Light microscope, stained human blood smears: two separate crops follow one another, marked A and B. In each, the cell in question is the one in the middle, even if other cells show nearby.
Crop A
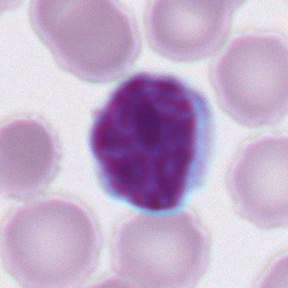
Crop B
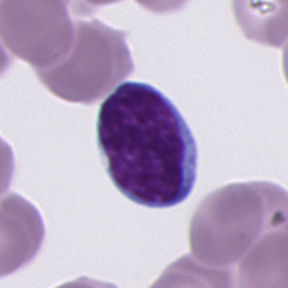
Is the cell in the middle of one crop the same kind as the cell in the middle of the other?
yes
